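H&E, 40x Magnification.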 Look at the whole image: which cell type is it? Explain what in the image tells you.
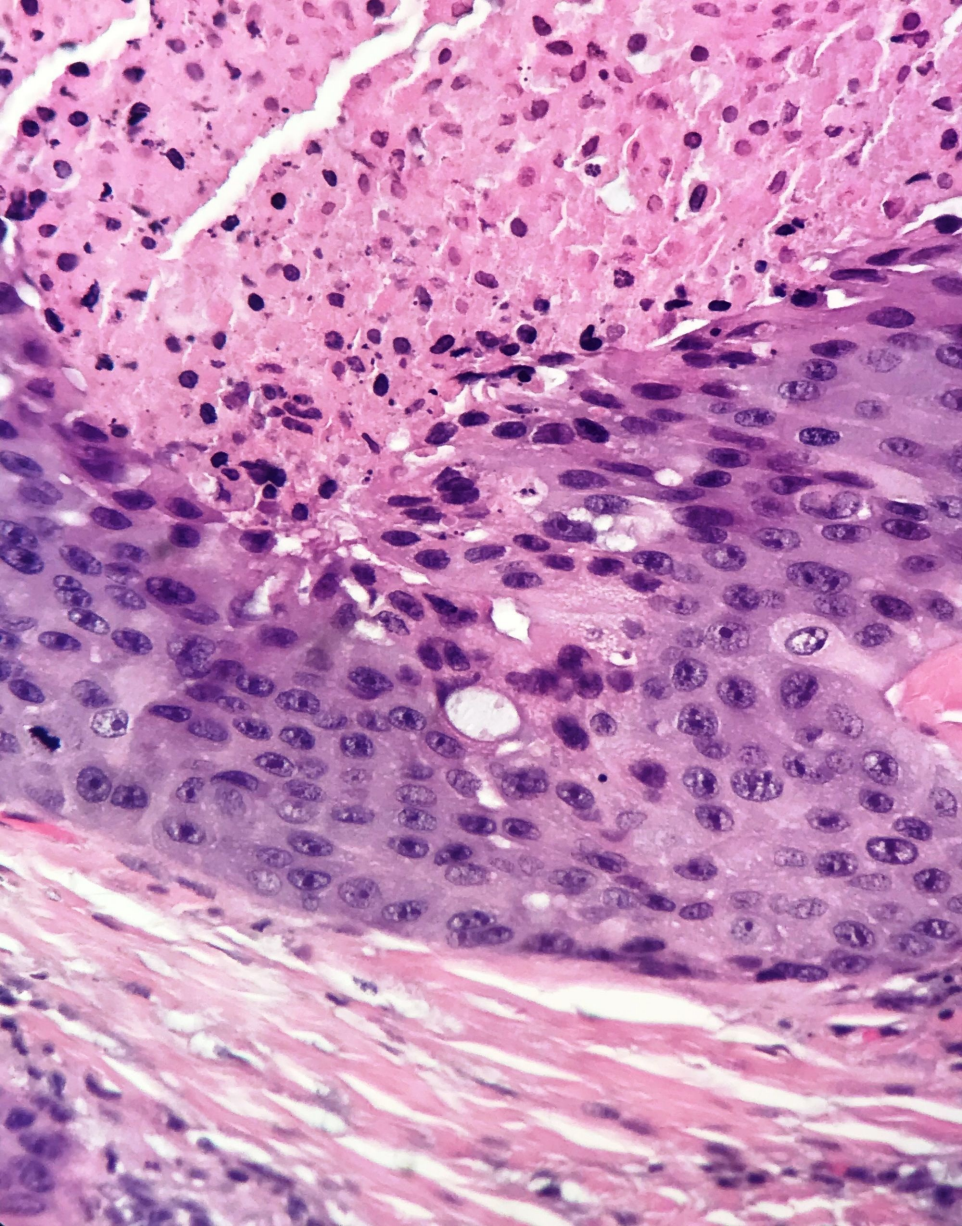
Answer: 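A broad band of large, crowded polygonal cells with big nuclei fills the middle of the field. The cells are larger and more atypical than the elongated stromal cells in the pink fibrous band below. That points to this answer: Tumor cells.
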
